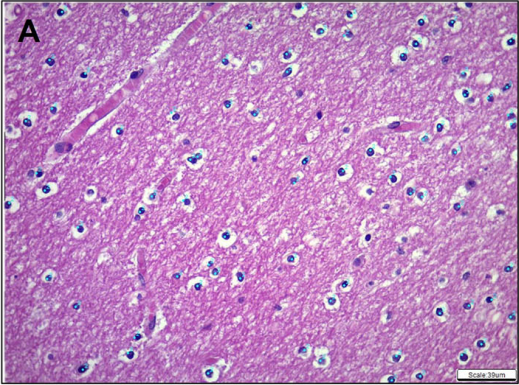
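This is white matter of the brain, and the cells scattered through it are oligodendrocytes. The background is a pink, finely fibrillary meshwork of nerve fibres with no large neuronal bodies. Each oligodendrocyte shows a small, round, dark-blue nucleus surrounded by a clear, empty-looking halo, giving a fried-egg appearance. They lie singly or in small pairs, fairly evenly spaced across the field. A few elongated structures running diagonally are small blood vessels with slender nuclei in their walls.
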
